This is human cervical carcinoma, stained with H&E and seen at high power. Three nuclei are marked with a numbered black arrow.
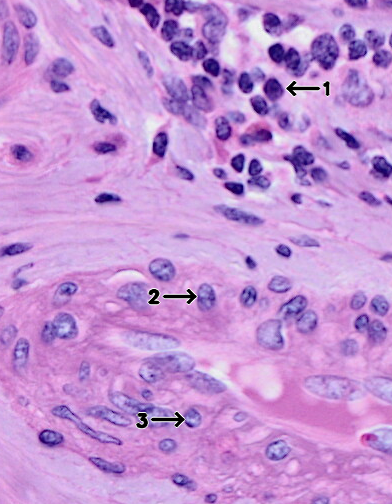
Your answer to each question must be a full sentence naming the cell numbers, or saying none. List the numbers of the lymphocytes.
Exactly one numbered cell is a lymphocyte, and that cell is number 1.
